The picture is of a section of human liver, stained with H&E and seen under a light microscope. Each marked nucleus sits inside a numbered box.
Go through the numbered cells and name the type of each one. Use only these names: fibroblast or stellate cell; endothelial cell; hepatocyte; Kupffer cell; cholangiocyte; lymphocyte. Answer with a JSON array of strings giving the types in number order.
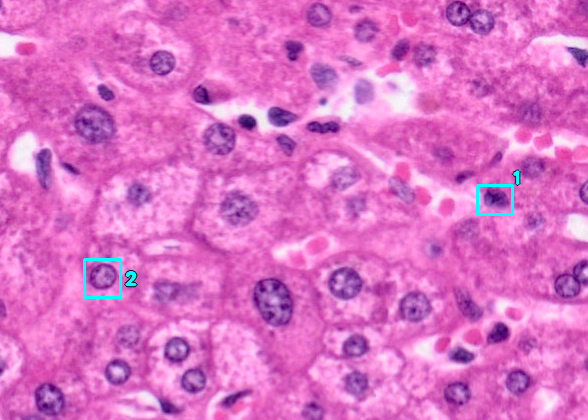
["fibroblast or stellate cell", "hepatocyte"]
